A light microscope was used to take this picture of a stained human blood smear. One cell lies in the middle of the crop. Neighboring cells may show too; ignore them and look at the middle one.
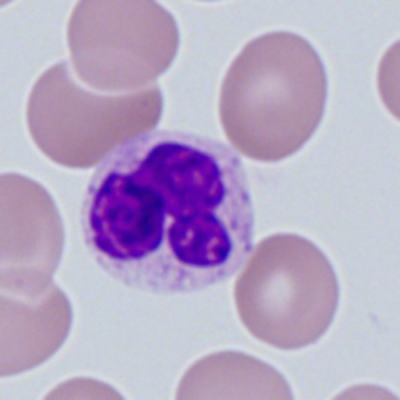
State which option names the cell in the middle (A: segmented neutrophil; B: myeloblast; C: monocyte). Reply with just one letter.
A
